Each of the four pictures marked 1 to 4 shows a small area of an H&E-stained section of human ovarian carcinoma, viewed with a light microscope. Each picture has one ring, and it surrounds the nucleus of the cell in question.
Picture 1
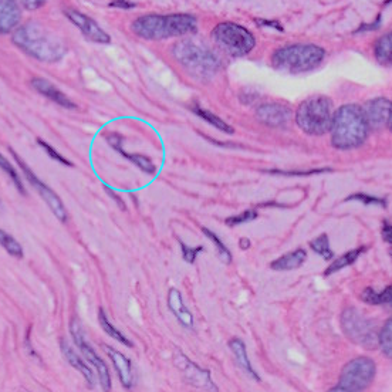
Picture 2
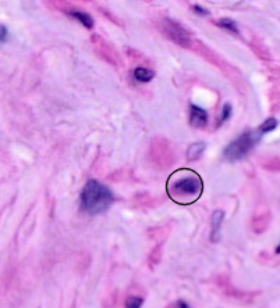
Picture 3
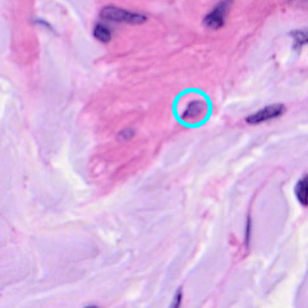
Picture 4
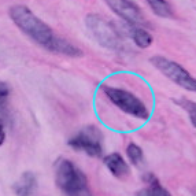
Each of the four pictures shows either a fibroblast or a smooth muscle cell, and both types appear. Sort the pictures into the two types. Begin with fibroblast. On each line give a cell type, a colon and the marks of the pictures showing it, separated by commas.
fibroblast: 1
smooth muscle cell: 2, 3, 4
